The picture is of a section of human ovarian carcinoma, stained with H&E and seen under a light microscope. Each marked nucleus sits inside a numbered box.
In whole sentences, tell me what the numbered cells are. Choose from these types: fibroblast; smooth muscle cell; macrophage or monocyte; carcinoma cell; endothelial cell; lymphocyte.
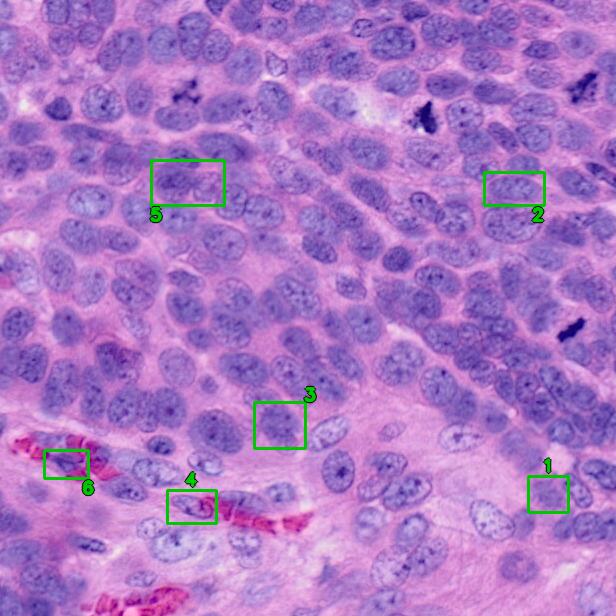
Cell 1 is a carcinoma cell, cell 2 is a carcinoma cell, cell 3 is a carcinoma cell, cell 4 is an endothelial cell, cell 5 is a carcinoma cell and cell 6 is an endothelial cell.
